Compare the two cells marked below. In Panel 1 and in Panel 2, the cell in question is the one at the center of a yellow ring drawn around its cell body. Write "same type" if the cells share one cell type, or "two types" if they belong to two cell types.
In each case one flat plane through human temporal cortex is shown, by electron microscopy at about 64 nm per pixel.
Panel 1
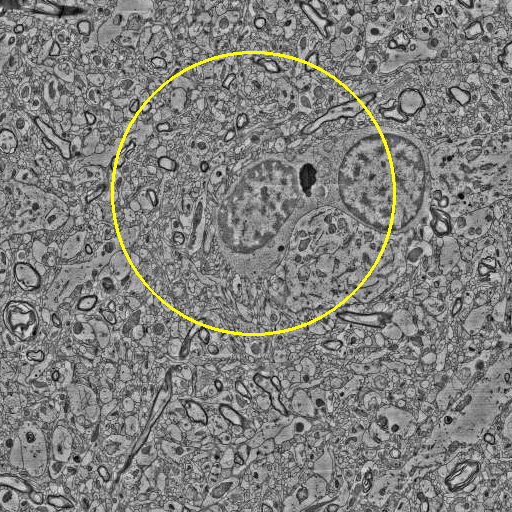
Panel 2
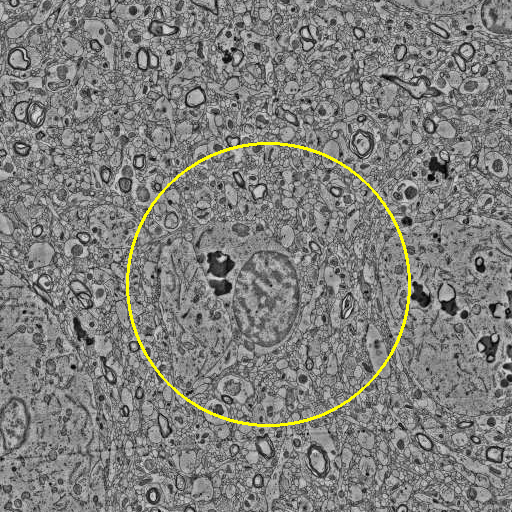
same type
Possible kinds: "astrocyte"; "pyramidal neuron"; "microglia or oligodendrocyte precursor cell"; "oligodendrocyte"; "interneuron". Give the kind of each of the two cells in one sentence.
Both rings mark an oligodendrocyte, one in each picture.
